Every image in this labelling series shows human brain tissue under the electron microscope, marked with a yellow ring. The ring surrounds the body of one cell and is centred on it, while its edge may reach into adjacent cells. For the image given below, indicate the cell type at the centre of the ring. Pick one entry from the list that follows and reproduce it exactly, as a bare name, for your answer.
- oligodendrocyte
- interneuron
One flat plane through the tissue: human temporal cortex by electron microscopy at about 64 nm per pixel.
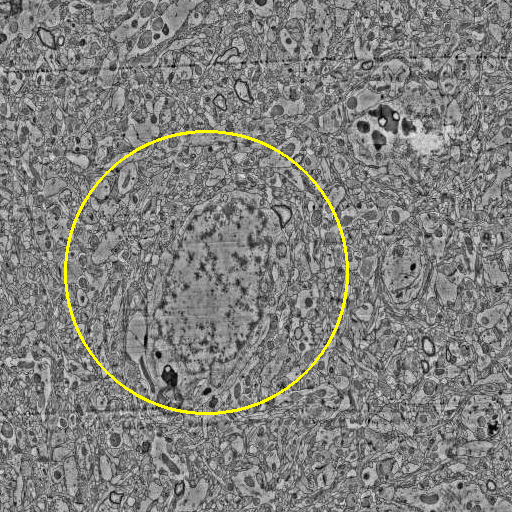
interneuron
